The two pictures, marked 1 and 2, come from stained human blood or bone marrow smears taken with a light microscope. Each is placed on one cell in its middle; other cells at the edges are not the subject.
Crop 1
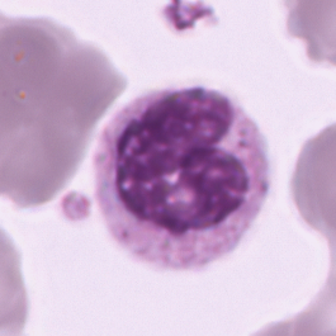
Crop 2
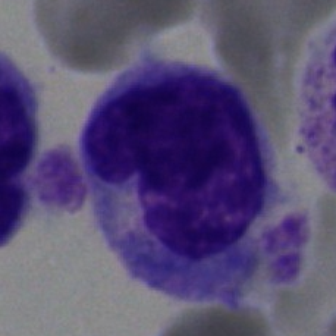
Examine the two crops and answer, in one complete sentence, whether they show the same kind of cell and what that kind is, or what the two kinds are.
No, crop 1 has a band neutrophil in the middle, and crop 2 has a monocyte.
